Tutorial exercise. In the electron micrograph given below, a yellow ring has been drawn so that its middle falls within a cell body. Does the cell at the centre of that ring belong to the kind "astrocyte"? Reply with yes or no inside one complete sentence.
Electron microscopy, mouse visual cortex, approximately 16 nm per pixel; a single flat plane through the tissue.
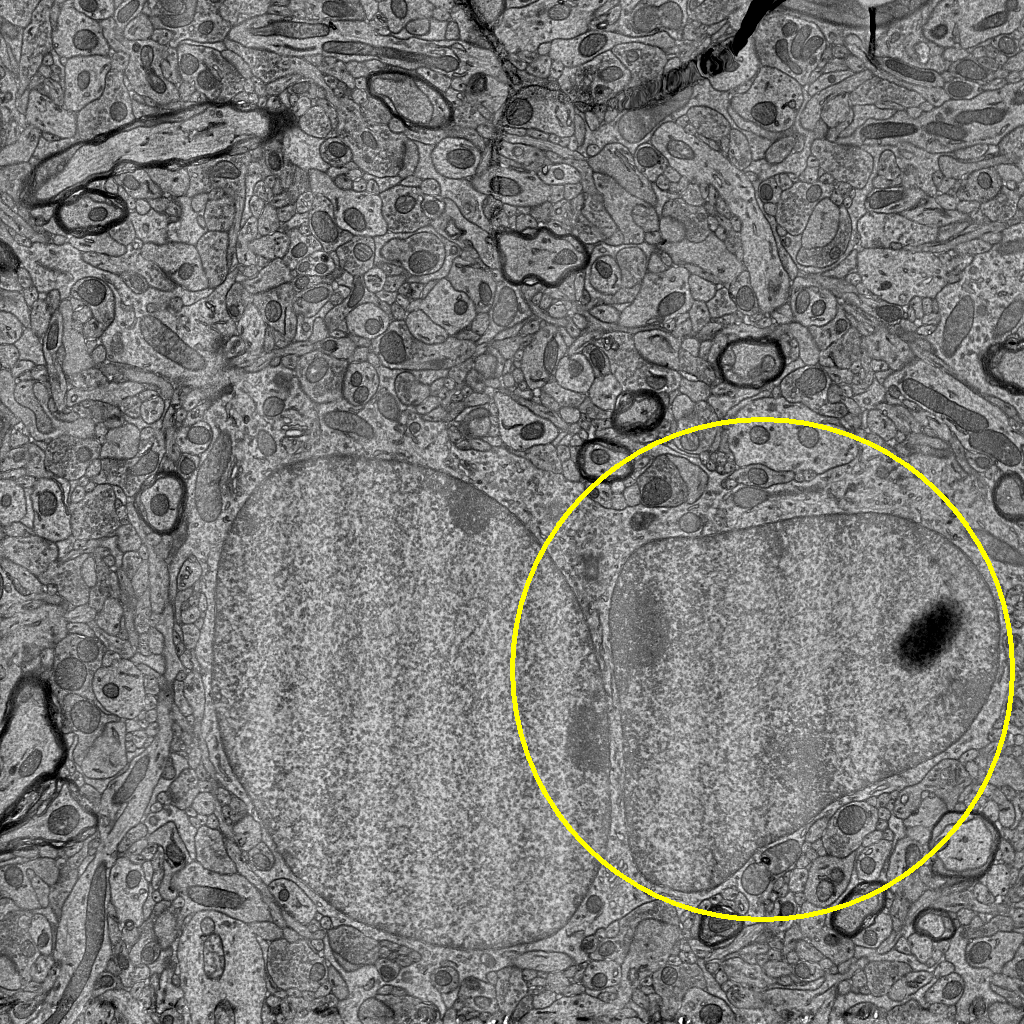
Yes, the cell at the centre of the ring in the picture is of that kind.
